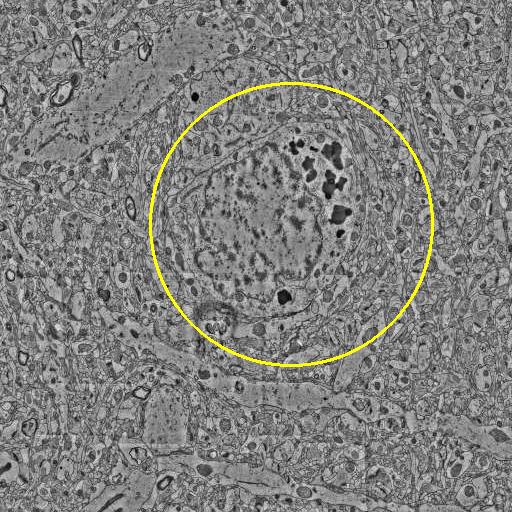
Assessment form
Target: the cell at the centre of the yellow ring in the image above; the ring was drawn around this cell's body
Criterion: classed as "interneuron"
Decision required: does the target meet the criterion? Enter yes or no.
yes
